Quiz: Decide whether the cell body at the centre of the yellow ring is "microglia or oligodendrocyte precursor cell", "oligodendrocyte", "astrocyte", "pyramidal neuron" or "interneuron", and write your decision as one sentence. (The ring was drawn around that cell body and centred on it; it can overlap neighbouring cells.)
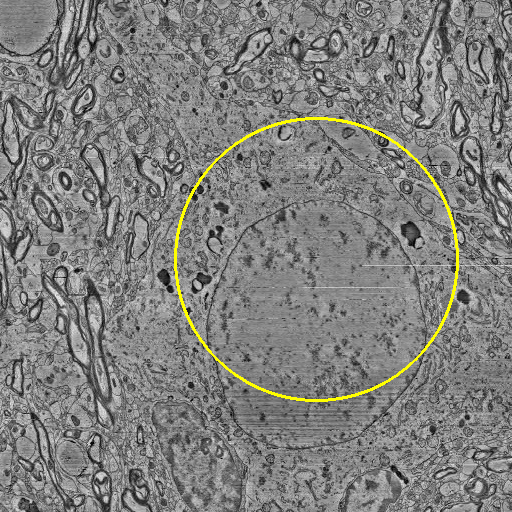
The cell the ring is centred on is a pyramidal neuron.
